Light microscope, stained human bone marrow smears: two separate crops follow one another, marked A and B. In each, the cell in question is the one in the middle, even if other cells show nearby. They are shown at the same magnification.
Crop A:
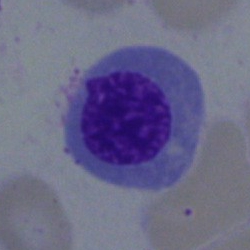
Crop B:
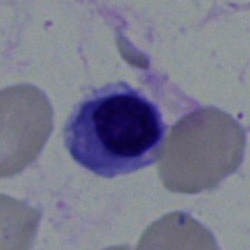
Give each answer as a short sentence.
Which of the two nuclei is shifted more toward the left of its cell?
In crop A the nucleus is shifted more toward the left.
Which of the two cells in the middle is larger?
Crop A holds the larger cell; it covers about 2.5 times the area of the cell in crop B.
